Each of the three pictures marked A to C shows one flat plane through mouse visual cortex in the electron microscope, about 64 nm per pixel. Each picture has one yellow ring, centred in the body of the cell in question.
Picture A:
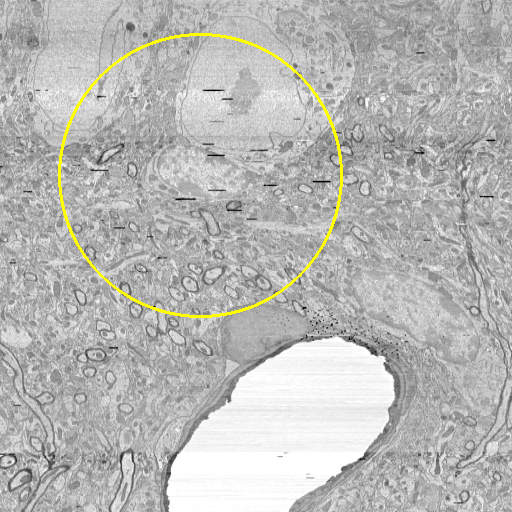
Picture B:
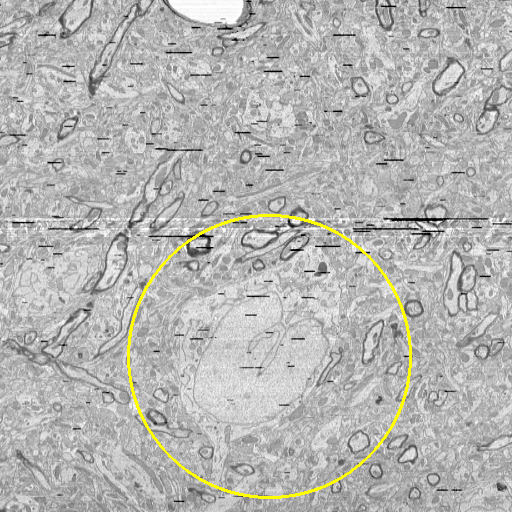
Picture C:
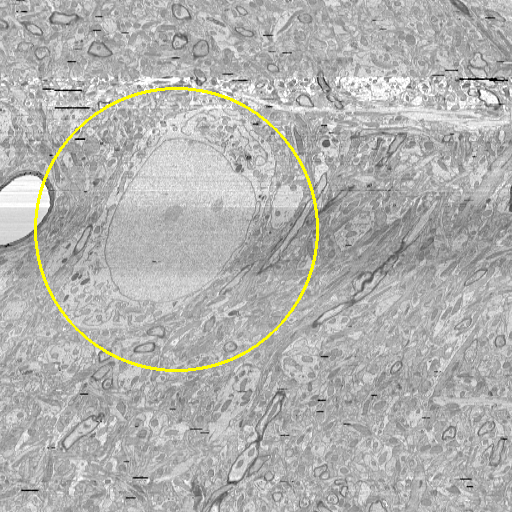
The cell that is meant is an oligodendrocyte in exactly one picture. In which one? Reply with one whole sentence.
The oligodendrocyte is the one in picture A.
